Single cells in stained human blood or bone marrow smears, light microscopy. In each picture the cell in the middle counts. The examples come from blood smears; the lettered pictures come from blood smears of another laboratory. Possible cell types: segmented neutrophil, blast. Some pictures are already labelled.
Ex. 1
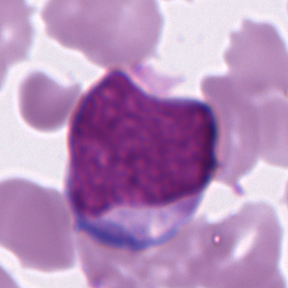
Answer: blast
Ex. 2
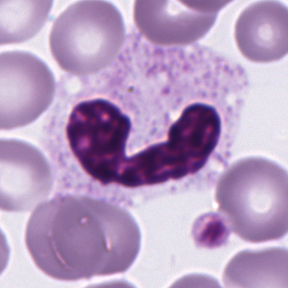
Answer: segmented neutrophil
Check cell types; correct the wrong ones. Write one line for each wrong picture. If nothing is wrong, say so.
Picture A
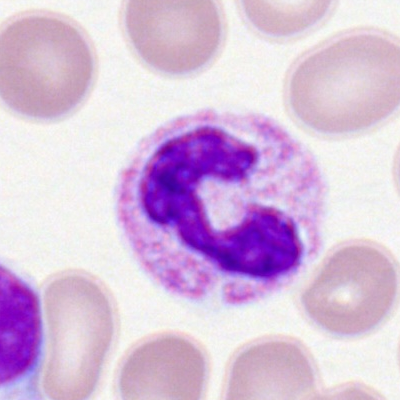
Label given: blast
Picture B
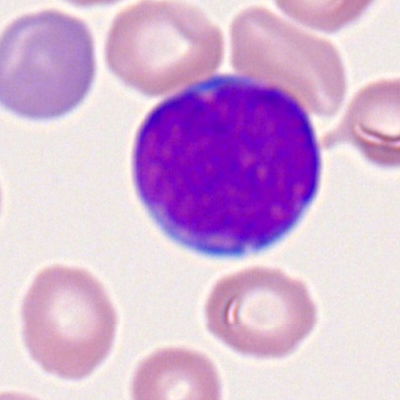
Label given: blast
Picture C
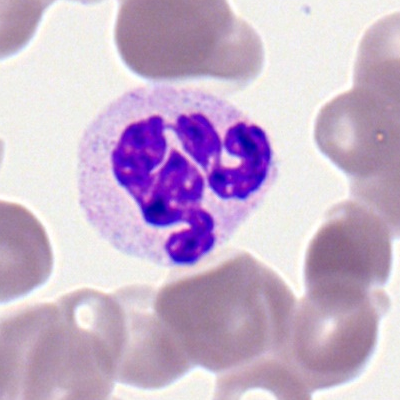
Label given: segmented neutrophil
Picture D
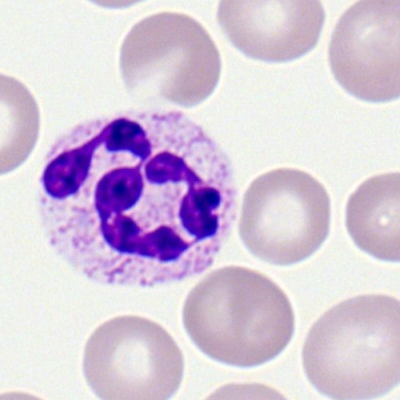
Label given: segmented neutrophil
A: segmented neutrophil, not blast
